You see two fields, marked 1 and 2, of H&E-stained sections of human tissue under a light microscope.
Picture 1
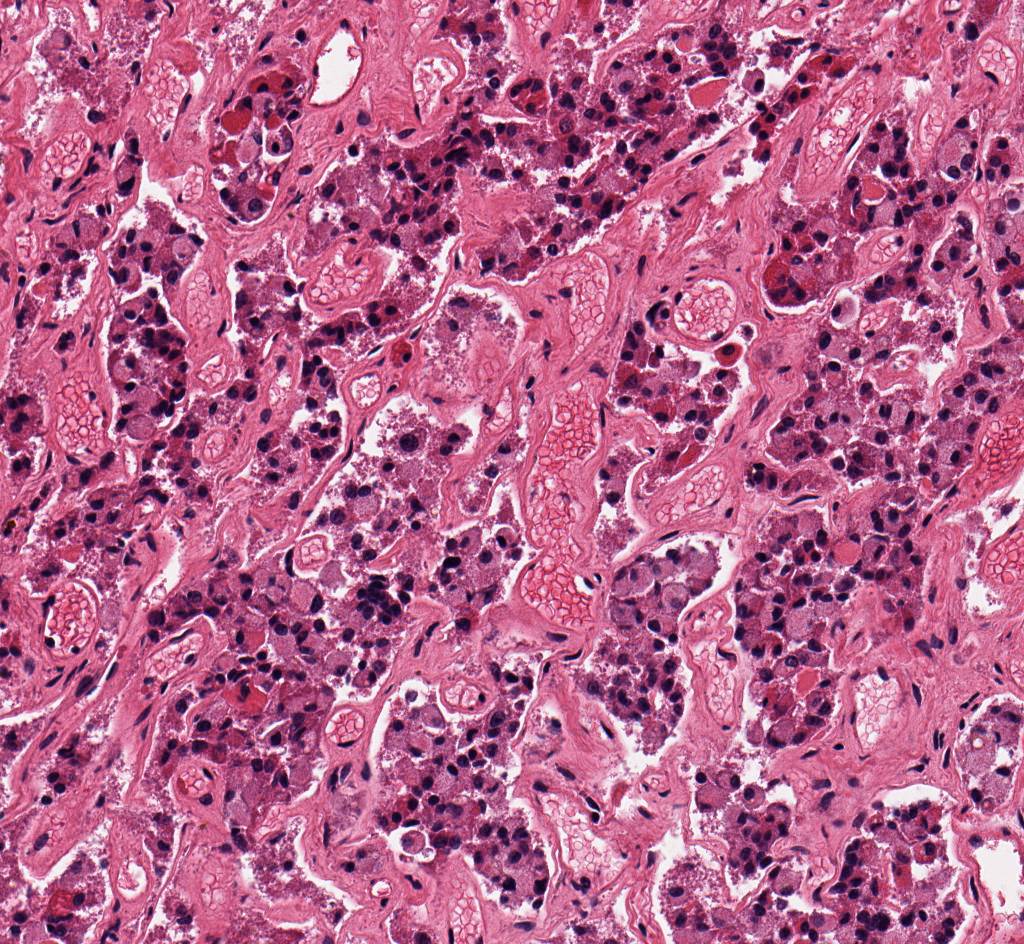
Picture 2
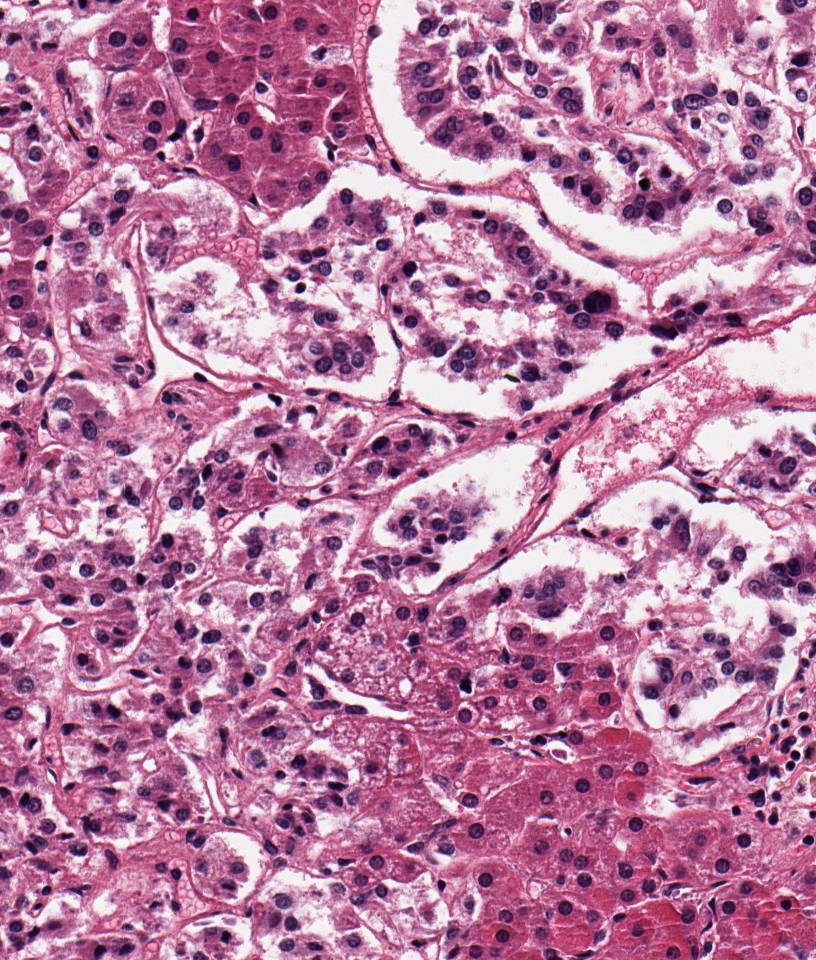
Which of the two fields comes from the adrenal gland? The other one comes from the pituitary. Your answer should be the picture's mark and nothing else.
2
